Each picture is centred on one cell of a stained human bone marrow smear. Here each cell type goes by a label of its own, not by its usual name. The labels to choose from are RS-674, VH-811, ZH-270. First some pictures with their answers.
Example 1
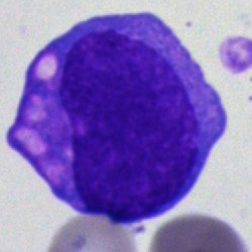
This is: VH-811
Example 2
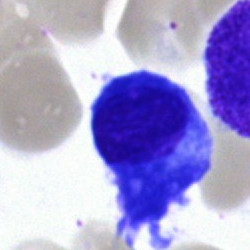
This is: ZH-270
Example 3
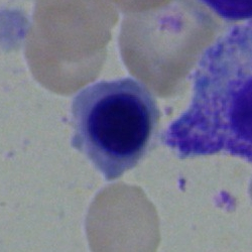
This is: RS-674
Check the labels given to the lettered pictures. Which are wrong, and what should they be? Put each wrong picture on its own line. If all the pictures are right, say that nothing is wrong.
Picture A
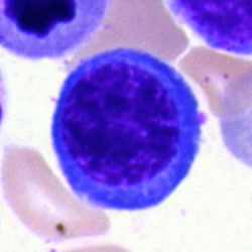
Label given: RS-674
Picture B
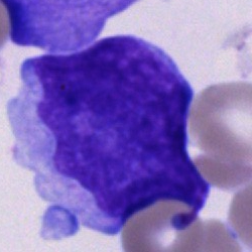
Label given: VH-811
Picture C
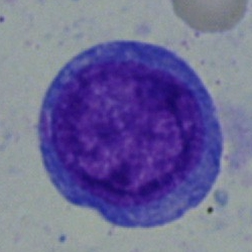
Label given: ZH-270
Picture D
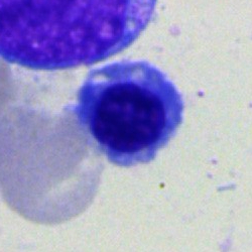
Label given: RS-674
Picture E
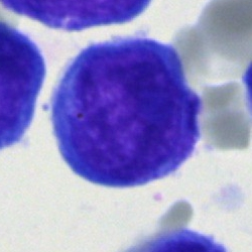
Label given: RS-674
C: change ZH-270 to VH-811
E: change RS-674 to VH-811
